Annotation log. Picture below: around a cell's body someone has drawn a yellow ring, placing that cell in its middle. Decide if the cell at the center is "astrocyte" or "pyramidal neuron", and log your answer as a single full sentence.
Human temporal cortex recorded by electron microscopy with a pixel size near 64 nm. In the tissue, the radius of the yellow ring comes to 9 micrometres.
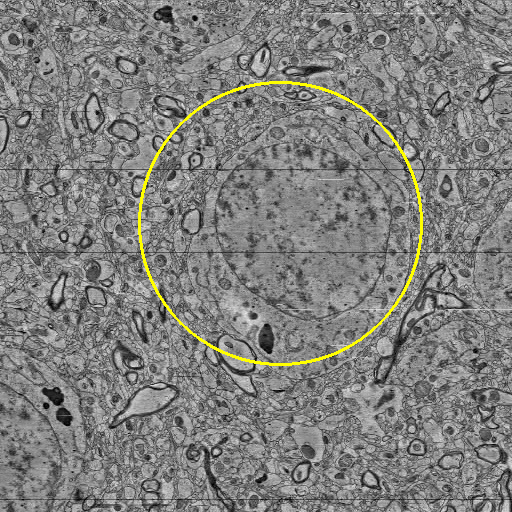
My entry records a pyramidal neuron as the cell sitting at the center of the yellow ring.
